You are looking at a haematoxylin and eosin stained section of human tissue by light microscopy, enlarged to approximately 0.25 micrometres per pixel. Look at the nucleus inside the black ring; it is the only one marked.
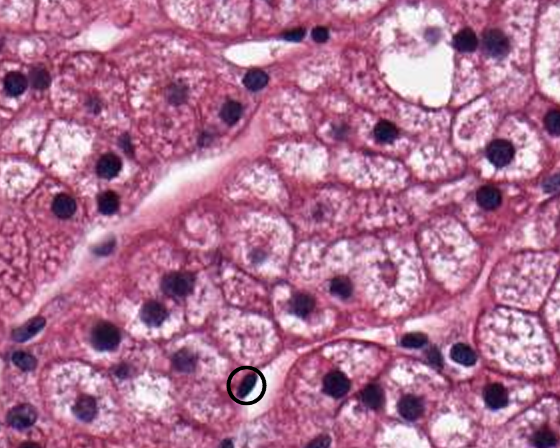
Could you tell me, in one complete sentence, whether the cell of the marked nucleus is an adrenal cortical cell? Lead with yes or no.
No, the marked nucleus is not that of an adrenal cortical cell but that of a supporting cell.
